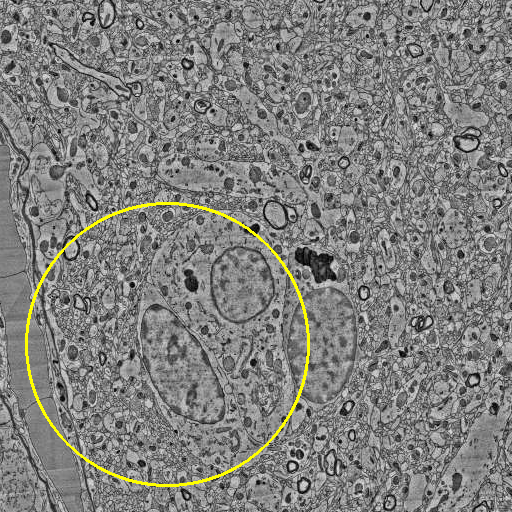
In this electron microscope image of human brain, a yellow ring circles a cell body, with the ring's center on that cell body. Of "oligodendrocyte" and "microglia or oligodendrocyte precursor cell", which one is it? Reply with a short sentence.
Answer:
It is a microglial cell or oligodendrocyte precursor cell at the center of the ring.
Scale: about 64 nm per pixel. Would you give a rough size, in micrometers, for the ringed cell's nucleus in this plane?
At approximately 8 by 4 micrometres, the nucleus is clearly longer than it is wide in this plane.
